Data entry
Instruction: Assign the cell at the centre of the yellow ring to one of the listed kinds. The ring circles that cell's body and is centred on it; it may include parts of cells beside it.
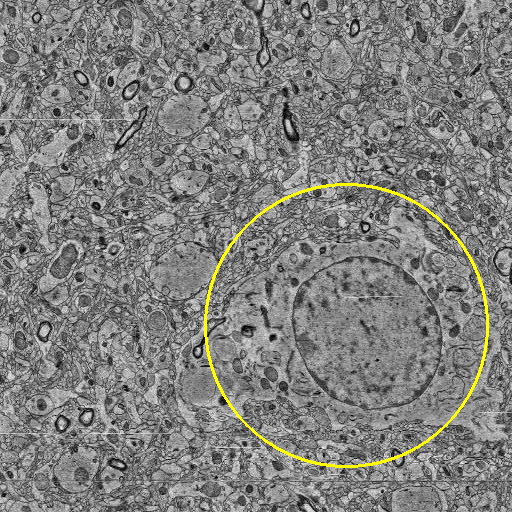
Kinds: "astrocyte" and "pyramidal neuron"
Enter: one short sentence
The centre of the ring falls on an astrocyte.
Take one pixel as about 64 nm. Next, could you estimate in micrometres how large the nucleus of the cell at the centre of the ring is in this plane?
In this plane, approximately 10 micrometres across.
